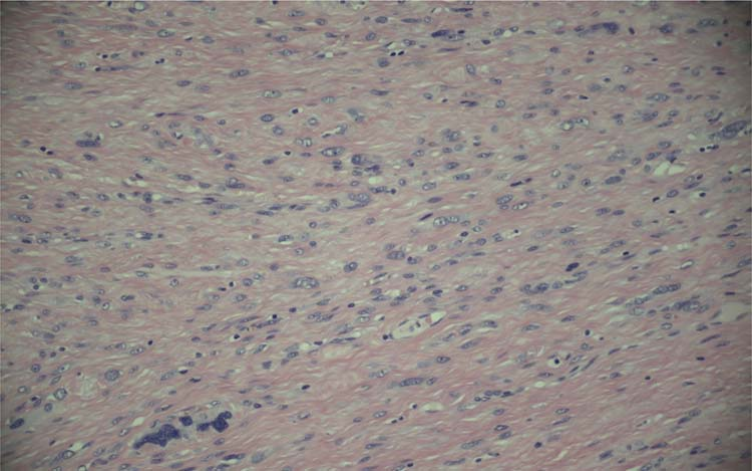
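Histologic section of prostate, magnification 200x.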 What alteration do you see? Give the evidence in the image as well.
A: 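Nuclei vary markedly in size and shape across the field. Scattered nuclei are enlarged and much darker than their neighbours. An irregular cluster of large, dark, clumped nuclei lies near the lower left.
Conclusion: severe cytologic atypia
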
